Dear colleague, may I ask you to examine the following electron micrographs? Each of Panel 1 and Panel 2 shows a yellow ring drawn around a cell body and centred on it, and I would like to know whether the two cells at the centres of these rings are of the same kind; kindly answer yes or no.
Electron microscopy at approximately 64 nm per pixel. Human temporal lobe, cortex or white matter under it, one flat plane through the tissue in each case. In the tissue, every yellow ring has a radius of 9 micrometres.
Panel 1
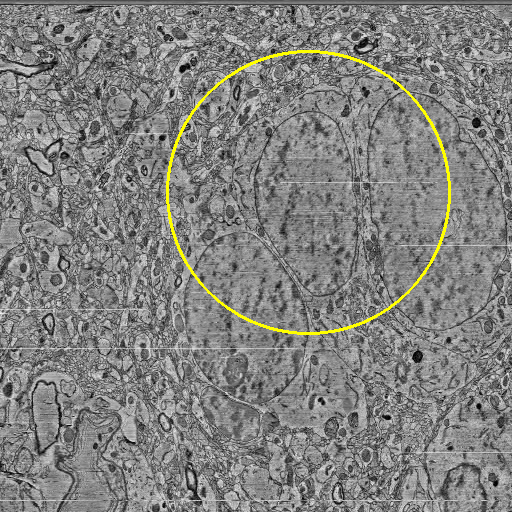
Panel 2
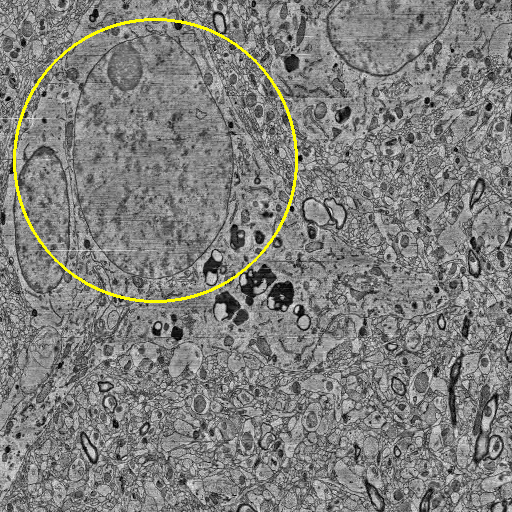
yes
